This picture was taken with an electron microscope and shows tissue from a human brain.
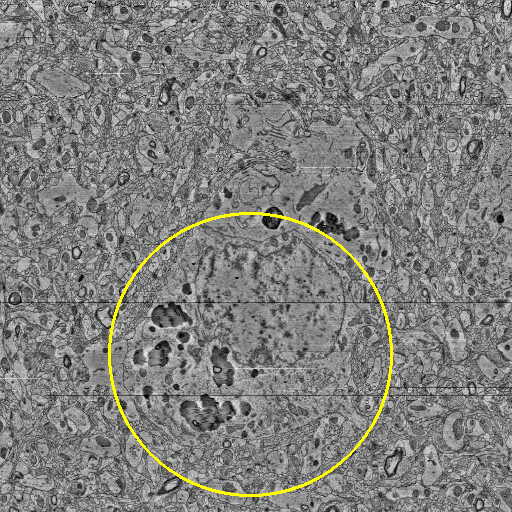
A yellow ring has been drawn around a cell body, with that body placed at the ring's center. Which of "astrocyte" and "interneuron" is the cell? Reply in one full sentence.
In this picture, an interneuron is the cell at the center of the yellow ring.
